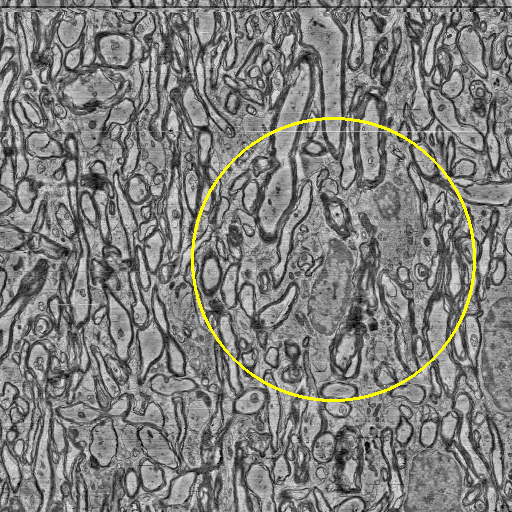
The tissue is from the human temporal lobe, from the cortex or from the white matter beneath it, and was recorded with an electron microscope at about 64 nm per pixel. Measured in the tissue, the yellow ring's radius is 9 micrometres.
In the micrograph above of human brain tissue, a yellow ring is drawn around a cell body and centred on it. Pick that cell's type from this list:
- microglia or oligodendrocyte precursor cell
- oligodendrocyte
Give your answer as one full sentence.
Going by the list, a microglial cell or oligodendrocyte precursor cell is the cell on which the yellow ring is centred.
